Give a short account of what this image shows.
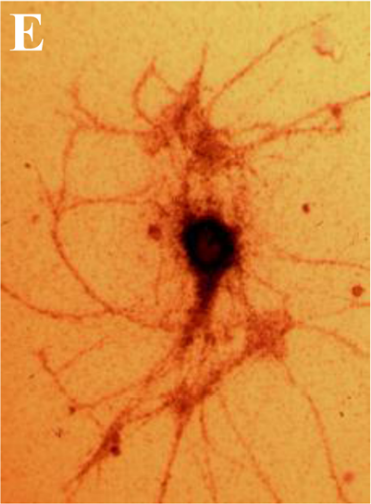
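A single neuron is shown as a dark, densely labelled cell body at the centre of a pale orange field. Many long, thin, branching processes radiate from it in all directions, some coursing far across the field.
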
